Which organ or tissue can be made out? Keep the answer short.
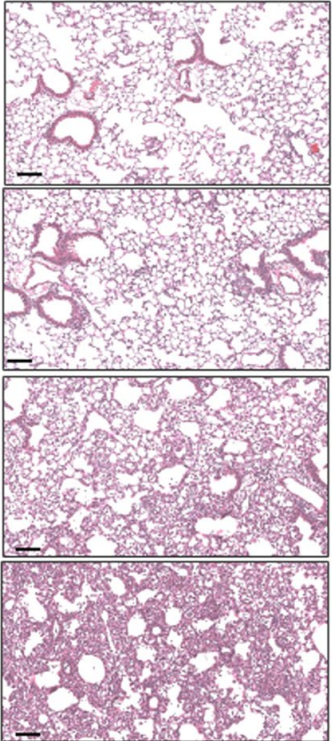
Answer: Lung.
